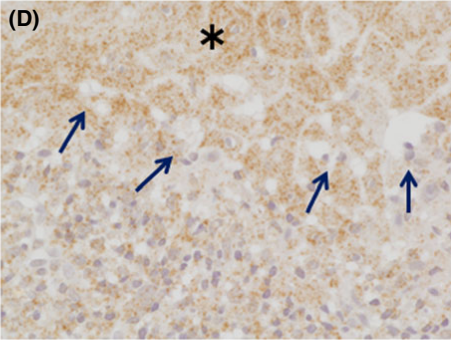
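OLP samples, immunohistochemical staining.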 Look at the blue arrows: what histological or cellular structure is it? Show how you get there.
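Vacuoles. These spaces lie at the lower edge of the brown-stained cell layer, next to small dark nuclei below.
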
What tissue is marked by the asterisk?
Epithelium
